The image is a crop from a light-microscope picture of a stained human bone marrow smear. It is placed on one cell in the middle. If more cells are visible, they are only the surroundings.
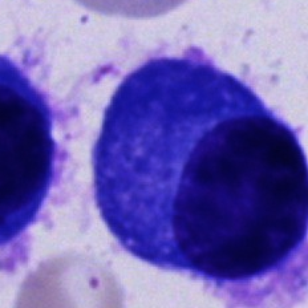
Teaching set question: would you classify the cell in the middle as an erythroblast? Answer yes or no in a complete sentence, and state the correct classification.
No, the cell in the middle is correctly named a plasma cell, not an erythroblast.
